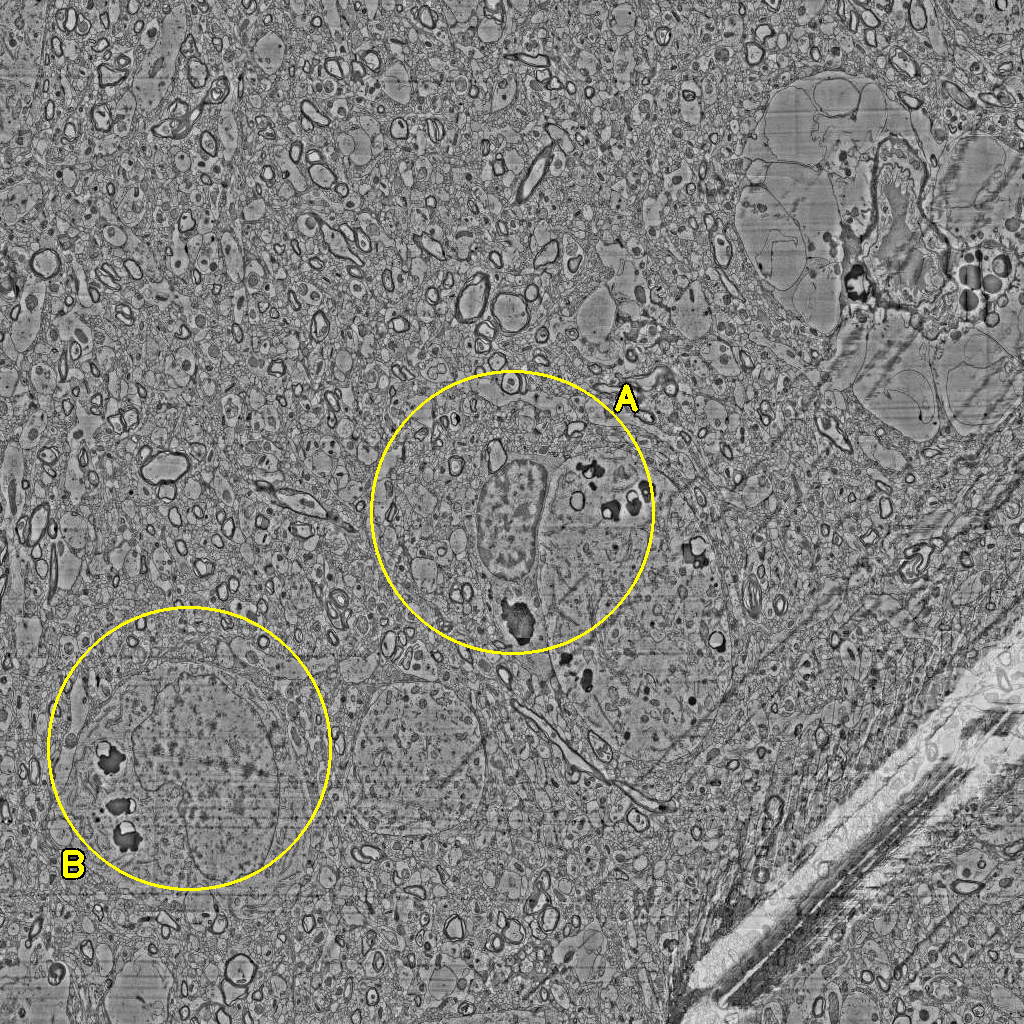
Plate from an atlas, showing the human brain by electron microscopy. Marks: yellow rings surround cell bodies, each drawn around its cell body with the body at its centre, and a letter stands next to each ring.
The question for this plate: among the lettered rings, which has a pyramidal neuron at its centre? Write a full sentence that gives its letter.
Ring B holds at its centre the cell that the question asks about in the picture.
